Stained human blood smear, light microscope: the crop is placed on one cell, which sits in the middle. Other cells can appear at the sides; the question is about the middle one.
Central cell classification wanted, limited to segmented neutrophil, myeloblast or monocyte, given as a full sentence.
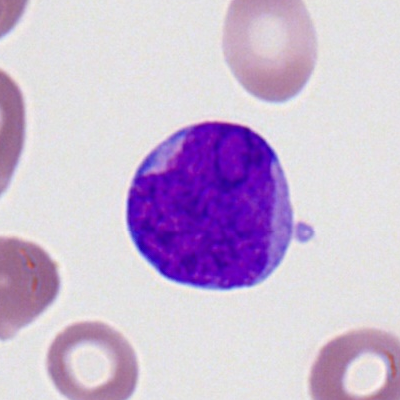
Positioned in the middle of the crop is a myeloblast.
